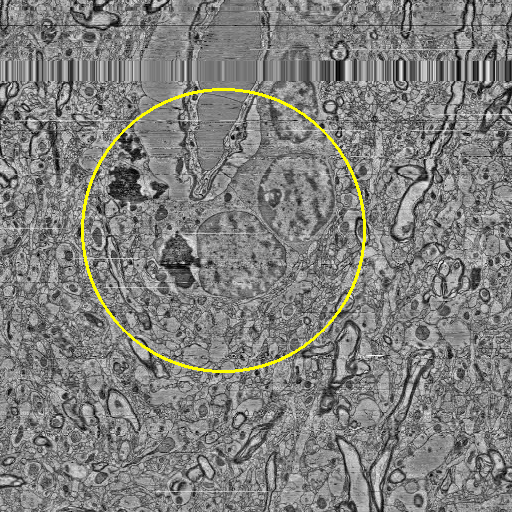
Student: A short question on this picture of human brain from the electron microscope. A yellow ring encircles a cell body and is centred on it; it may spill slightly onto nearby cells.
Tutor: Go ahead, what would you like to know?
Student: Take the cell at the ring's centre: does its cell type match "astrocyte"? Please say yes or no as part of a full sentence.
No, the cell found at the ring's centre in the picture has another cell type.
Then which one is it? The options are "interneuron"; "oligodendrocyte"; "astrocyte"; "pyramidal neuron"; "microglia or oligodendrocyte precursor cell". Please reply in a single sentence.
The correct answer is that the cell is an oligodendrocyte.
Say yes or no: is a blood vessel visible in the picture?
Yes, there is a blood vessel in the image.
